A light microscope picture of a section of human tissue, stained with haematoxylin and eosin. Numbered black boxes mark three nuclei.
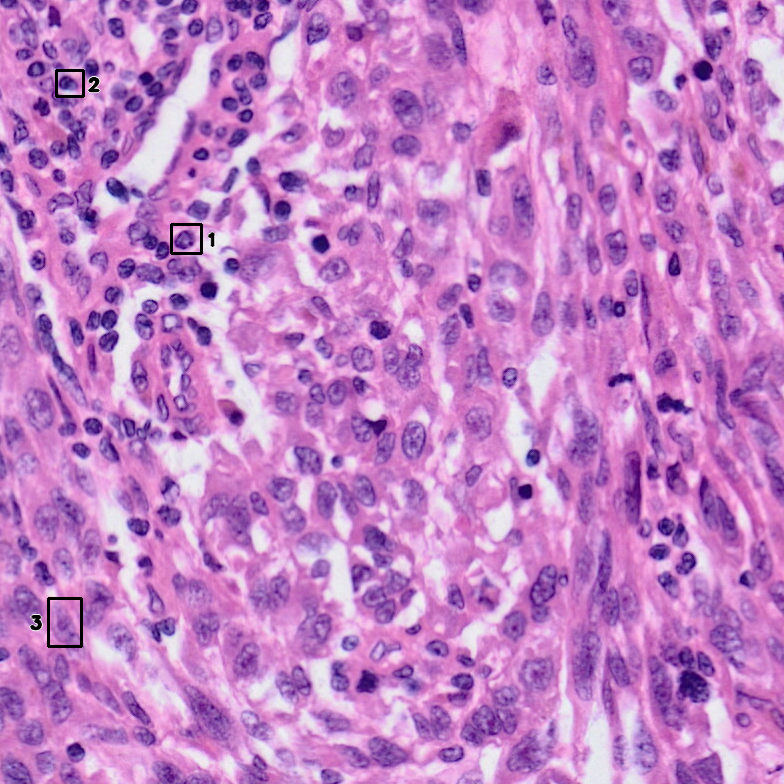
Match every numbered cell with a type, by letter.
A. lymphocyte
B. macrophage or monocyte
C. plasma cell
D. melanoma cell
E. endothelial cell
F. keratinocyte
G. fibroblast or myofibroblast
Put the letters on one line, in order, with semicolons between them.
A; A; D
